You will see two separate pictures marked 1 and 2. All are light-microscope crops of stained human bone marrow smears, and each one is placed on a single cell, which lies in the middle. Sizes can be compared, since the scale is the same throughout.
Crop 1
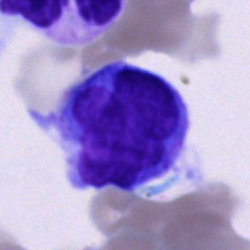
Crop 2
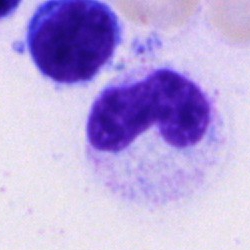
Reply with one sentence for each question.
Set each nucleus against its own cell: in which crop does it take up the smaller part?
The nucleus fills less of the cell in crop 2 than in crop 1.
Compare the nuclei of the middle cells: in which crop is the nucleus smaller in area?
The nucleus in crop 2 is smaller; the one in crop 1 has about 1.5 times its area.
